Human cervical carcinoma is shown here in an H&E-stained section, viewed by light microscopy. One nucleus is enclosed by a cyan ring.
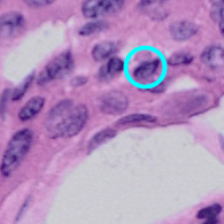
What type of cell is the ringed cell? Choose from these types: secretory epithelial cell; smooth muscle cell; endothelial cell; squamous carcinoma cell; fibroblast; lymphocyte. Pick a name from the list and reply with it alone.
squamous carcinoma cell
